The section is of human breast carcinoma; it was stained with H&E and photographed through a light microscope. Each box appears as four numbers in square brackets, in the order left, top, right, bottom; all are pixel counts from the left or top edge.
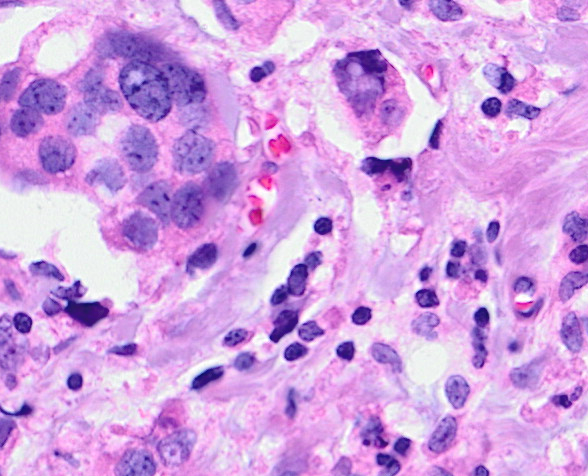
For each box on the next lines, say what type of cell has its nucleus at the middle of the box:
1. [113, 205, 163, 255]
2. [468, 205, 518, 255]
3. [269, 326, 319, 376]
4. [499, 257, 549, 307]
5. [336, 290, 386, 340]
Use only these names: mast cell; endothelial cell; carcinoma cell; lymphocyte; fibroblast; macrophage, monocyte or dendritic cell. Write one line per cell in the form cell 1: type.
cell 1: carcinoma cell
cell 2: lymphocyte
cell 3: lymphocyte
cell 4: endothelial cell
cell 5: lymphocyte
